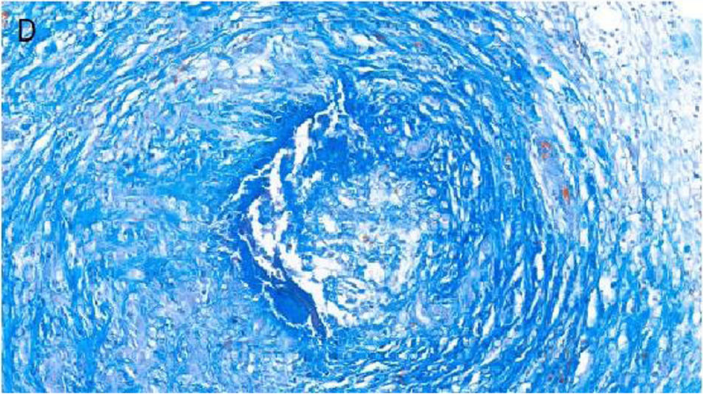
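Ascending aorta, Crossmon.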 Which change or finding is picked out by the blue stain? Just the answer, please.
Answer: Concentric collagen deposition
